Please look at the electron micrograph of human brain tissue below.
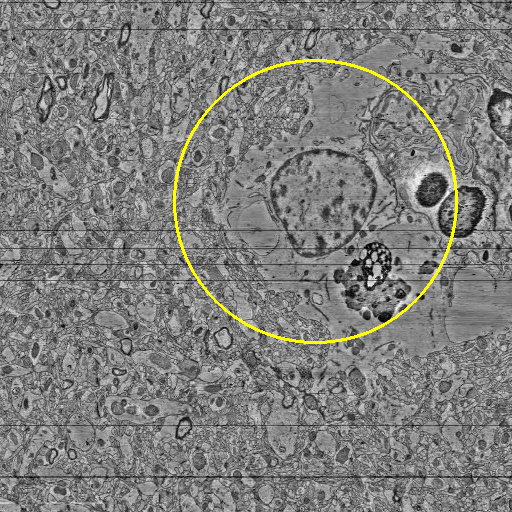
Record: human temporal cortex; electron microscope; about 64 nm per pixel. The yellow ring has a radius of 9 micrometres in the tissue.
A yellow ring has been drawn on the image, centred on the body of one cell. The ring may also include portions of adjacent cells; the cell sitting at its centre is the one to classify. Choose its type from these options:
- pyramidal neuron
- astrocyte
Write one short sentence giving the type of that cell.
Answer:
The cell in the middle of the ring is an astrocyte.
